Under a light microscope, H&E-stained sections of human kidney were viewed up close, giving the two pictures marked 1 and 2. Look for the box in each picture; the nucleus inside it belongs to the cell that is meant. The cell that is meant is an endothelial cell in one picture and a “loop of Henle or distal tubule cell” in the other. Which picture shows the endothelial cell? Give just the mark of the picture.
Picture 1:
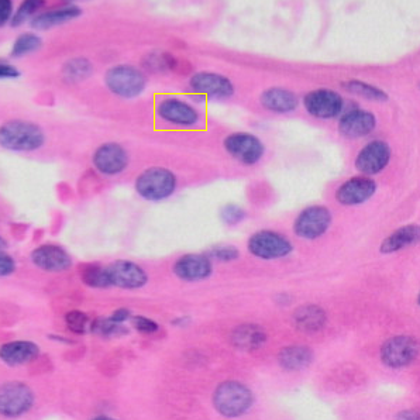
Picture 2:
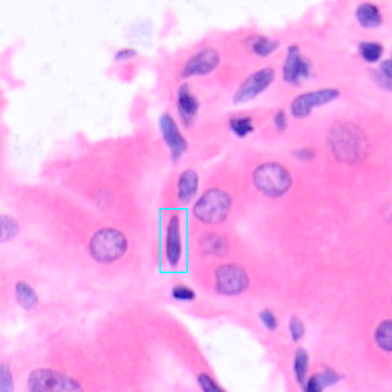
2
